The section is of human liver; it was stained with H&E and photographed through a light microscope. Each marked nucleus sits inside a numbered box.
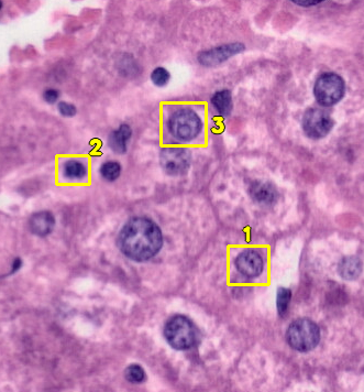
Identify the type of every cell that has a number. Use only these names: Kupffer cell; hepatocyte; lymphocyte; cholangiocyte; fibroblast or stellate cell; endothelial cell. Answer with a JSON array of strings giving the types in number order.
["hepatocyte", "lymphocyte", "hepatocyte"]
